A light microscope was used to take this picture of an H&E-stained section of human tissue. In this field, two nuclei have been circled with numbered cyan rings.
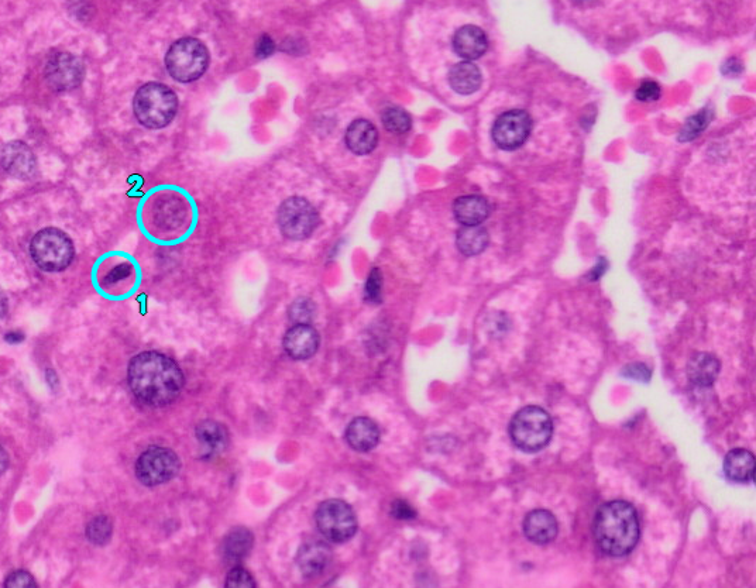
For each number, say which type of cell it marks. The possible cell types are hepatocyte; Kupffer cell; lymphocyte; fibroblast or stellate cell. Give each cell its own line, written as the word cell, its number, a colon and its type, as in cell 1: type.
cell 1: fibroblast or stellate cell
cell 2: hepatocyte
